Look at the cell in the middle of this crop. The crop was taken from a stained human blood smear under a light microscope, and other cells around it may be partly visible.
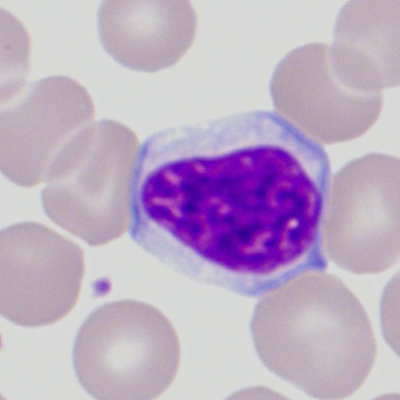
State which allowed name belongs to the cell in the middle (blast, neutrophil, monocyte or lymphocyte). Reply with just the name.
lymphocyte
